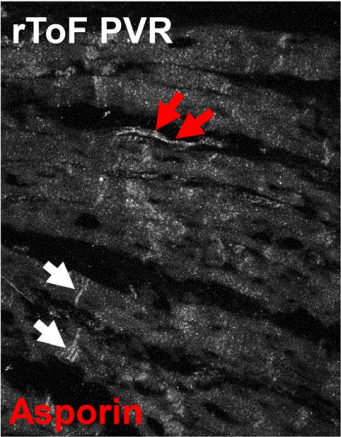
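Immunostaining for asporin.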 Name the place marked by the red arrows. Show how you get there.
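Extracellular domains. The red arrows point to a bright line running lengthwise between fibres. The line borders a dark gap between bundles.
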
